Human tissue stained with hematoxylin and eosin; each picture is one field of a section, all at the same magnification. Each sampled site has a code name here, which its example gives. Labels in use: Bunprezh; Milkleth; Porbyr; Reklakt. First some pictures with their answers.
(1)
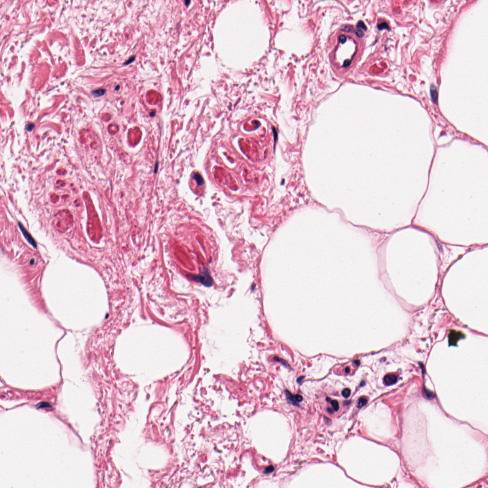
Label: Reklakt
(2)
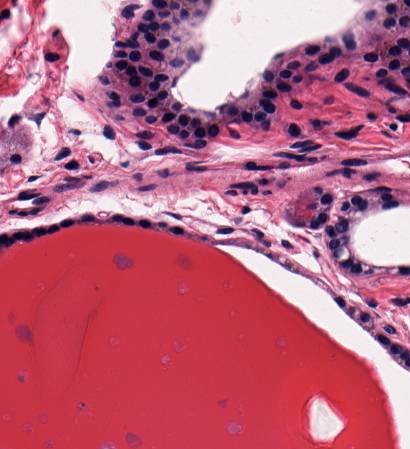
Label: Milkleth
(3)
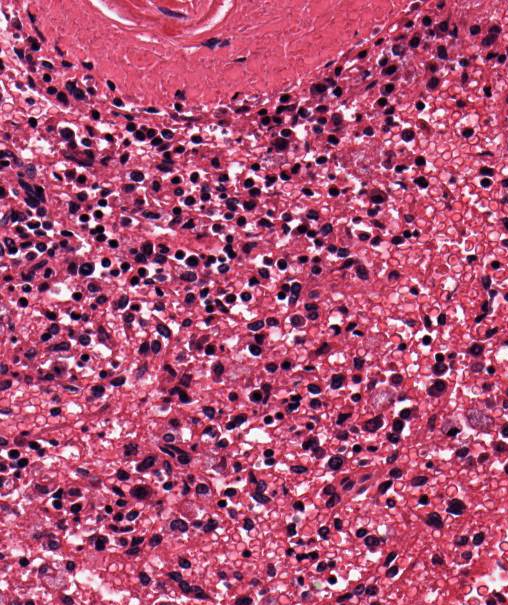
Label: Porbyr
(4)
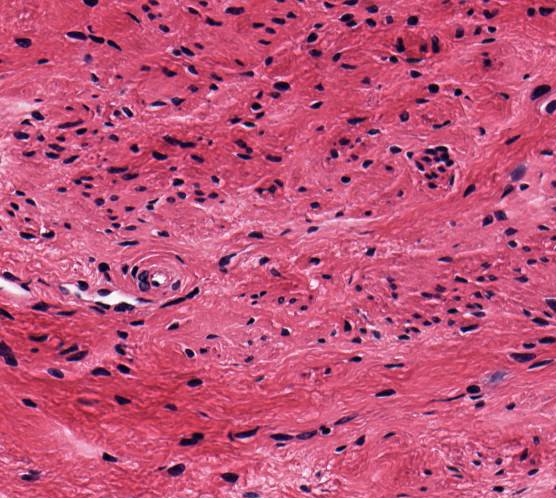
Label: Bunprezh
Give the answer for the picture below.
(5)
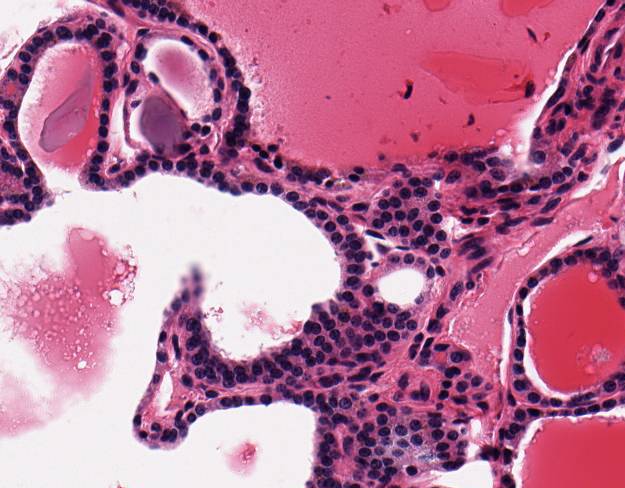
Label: Milkleth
